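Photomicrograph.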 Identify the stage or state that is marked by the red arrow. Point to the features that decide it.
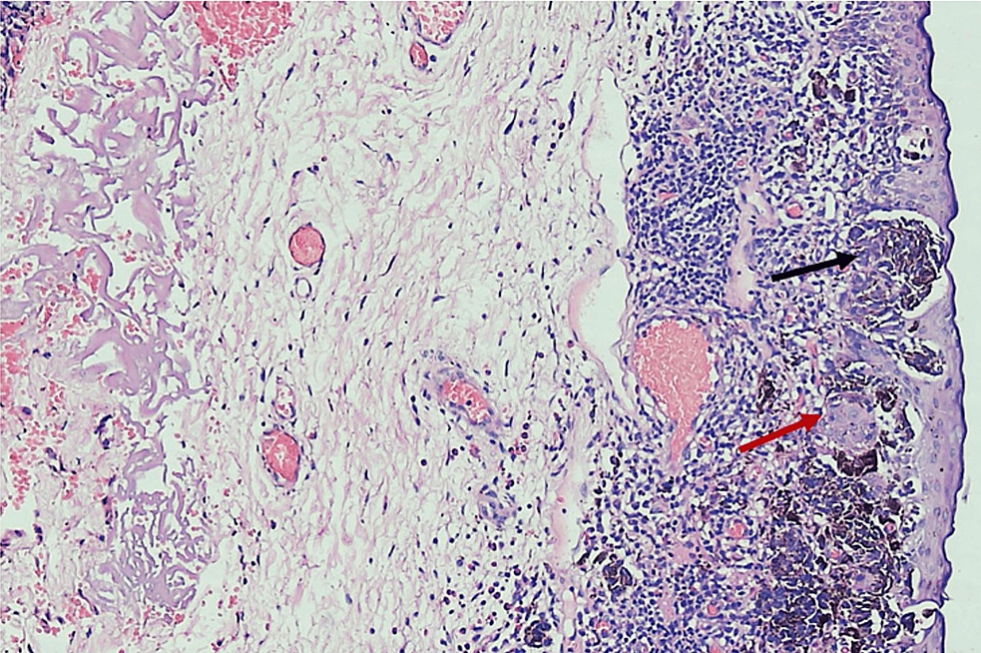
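The red arrow points to a rounded nest of pale pink-lilac cells. This nest lacks the dark pigment seen in the neighbouring nests. So: non-melanin containing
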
